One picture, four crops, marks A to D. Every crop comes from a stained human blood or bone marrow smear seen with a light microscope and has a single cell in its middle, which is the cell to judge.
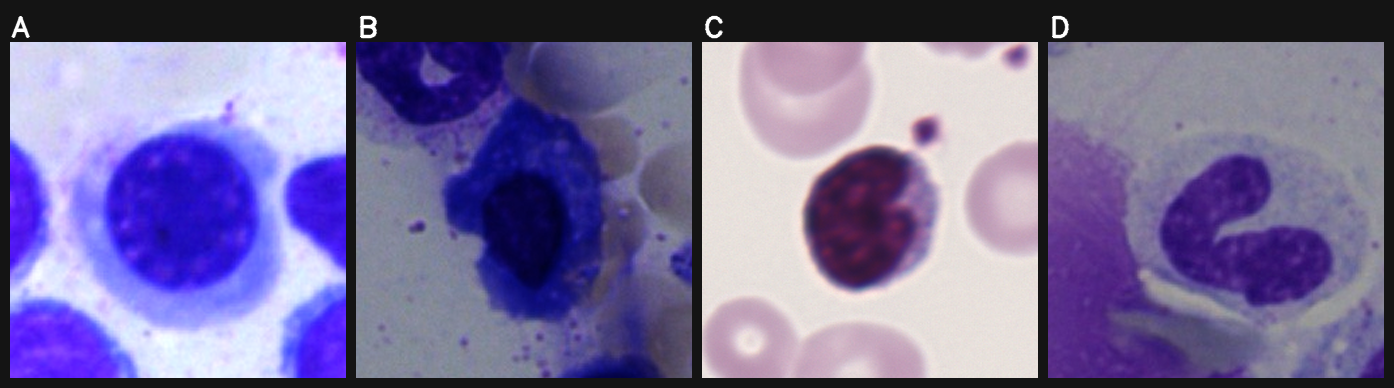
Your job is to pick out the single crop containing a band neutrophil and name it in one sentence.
Crop D is the one to choose: it shows a band neutrophil.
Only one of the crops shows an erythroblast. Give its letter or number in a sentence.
Crop A matches the request, showing an erythroblast.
